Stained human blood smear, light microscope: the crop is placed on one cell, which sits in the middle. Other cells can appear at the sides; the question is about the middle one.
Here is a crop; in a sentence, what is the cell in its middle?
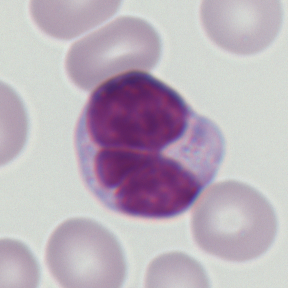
In this smear crop, the middle cell is a large granular lymphocyte.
